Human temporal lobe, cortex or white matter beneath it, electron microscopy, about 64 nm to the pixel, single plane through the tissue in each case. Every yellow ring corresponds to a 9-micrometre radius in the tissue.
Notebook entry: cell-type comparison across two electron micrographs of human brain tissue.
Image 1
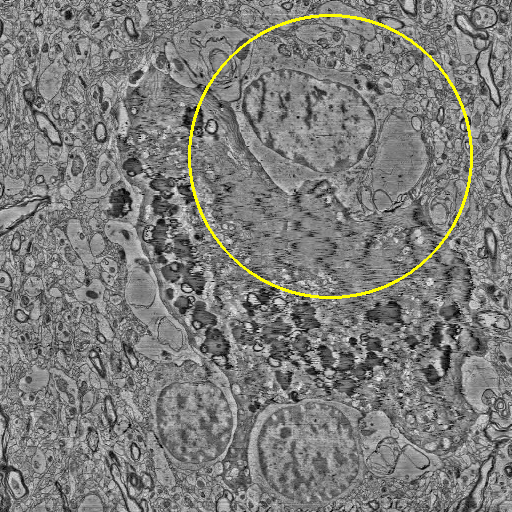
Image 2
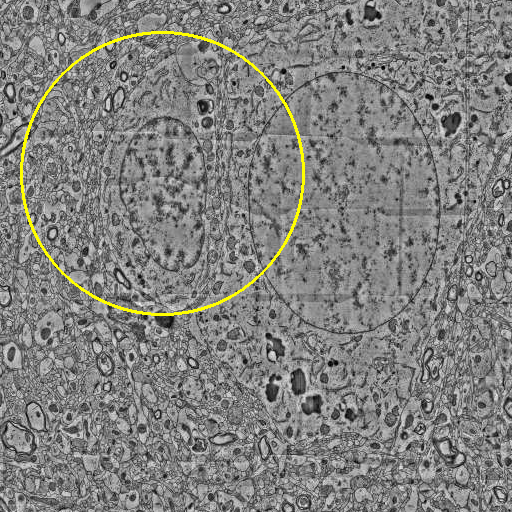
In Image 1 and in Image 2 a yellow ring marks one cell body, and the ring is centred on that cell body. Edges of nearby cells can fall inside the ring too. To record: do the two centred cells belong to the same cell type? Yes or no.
yes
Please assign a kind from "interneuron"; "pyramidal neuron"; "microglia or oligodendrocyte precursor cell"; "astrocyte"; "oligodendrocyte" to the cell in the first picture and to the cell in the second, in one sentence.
Each of the two rings surrounds a microglial cell or oligodendrocyte precursor cell.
